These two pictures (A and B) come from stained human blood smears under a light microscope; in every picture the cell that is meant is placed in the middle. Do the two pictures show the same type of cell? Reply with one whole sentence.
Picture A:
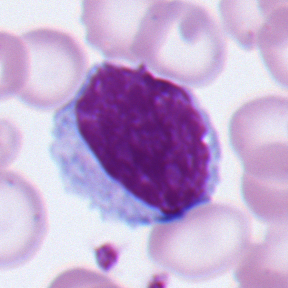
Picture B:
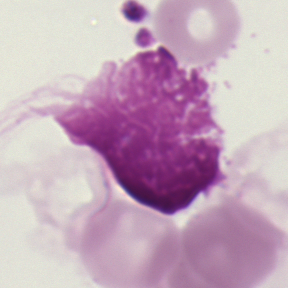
No. Picture A shows a typical lymphocyte, but picture B shows a smudge cell.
